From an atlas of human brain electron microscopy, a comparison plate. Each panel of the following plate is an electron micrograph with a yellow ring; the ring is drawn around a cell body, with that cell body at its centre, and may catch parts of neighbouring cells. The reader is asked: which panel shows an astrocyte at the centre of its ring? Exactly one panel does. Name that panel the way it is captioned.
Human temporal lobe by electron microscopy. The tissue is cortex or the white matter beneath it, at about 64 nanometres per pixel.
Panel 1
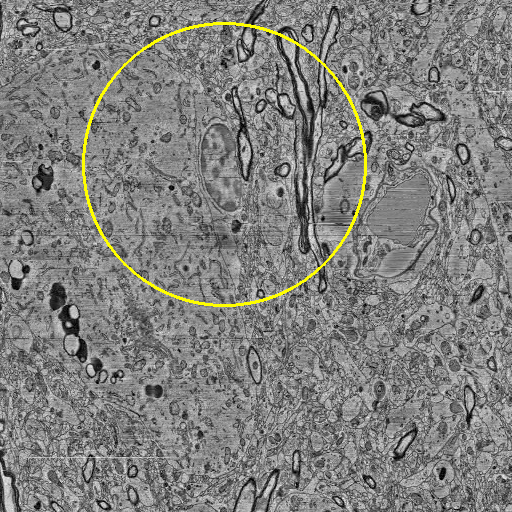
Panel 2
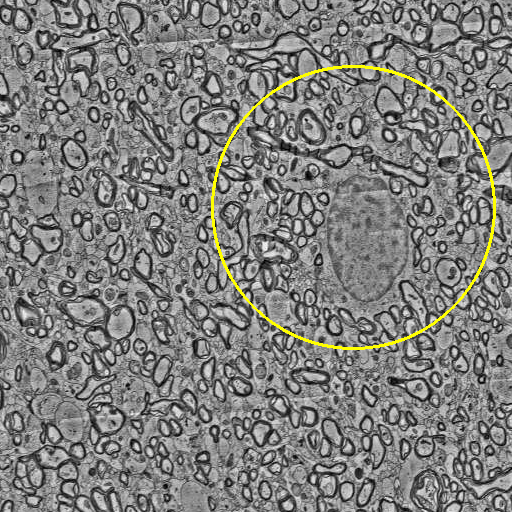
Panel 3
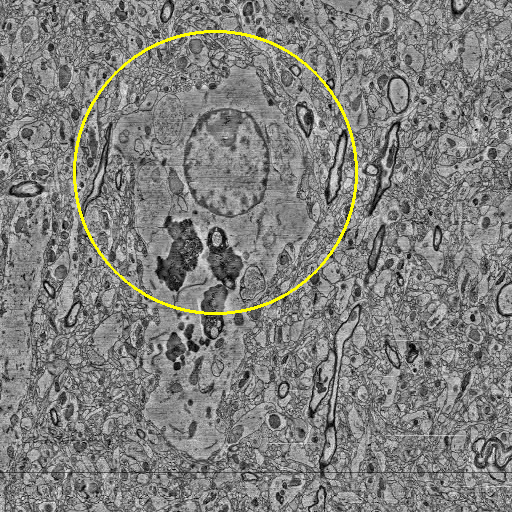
Panel 3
